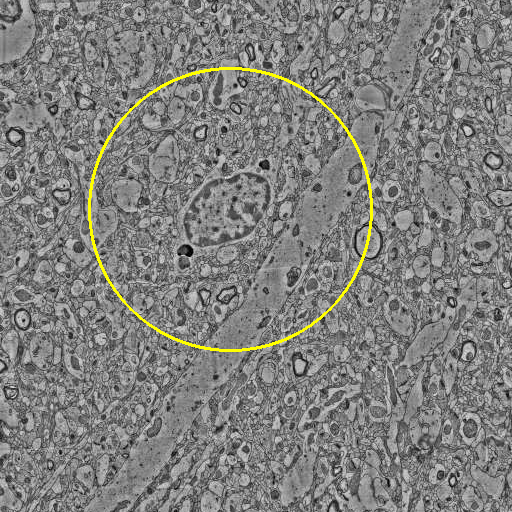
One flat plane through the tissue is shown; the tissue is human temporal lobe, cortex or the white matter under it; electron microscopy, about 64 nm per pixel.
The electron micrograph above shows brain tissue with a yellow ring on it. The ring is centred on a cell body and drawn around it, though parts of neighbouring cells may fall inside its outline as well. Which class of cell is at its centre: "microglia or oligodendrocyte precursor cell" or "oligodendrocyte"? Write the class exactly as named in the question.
microglia or oligodendrocyte precursor cell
